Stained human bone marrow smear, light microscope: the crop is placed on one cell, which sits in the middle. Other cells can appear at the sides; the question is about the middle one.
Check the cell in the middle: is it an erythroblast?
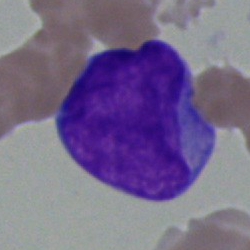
no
